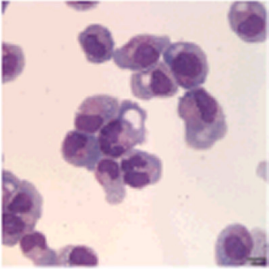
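Cells showing granulocytic or monocytic differentiation are spread on a pale background. Compared with blast cells, they have more abundant cytoplasm that stains pale grey-pink, and their outlines are irregular. The purple nuclei are often indented, kidney-shaped or irregular rather than round, and sit eccentrically within the cell. Nuclear size relative to the cell is smaller, so the nucleus-to-cytoplasm ratio is lower. Some cells show clear spaces or vacuoles in the cytoplasm. Cells are of varied size and shape, in contrast to the uniform round blasts of an undifferentiated population.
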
